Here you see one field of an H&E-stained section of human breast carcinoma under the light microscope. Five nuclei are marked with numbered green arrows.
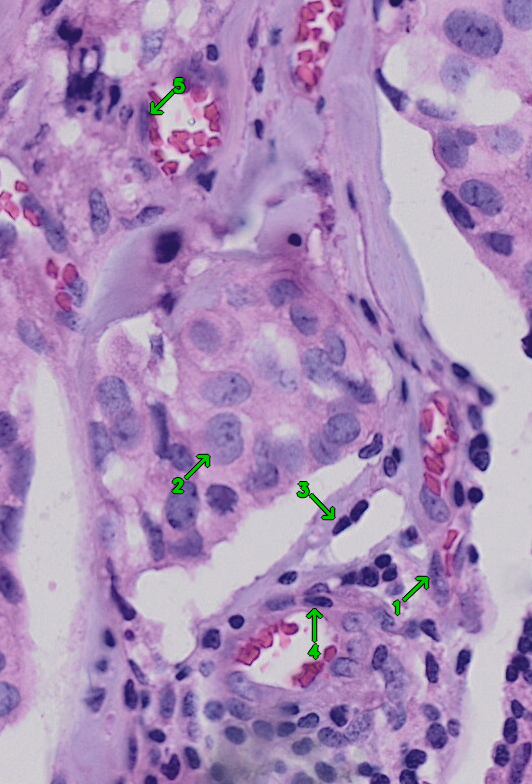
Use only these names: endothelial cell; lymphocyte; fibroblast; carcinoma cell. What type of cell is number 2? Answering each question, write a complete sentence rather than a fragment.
Identified by the number 2, the cell is a carcinoma cell.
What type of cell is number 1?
What the number 1 marks in this field is an endothelial cell.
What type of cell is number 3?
The identity of cell 3 is that of a lymphocyte.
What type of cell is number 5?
Cell number 5 in this section is an endothelial cell.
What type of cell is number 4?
Recognised here as an endothelial cell is the cell numbered 4.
